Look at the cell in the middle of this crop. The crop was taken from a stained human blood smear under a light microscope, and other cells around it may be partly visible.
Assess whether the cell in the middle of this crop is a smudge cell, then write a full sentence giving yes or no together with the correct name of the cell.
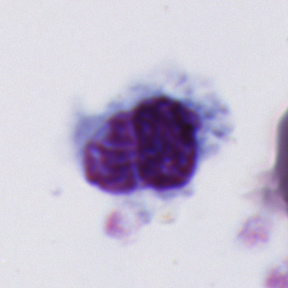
No, the central cell is designated a hairy cell and not a smudge cell.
